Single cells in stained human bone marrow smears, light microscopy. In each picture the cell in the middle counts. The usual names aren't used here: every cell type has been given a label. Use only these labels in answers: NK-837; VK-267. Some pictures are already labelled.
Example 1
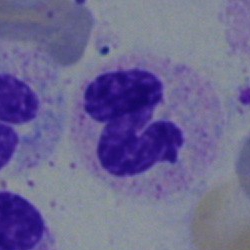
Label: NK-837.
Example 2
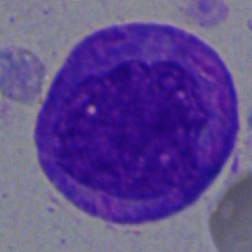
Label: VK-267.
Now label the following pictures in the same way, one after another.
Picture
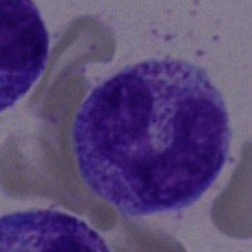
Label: NK-837.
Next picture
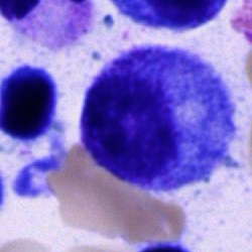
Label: VK-267.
